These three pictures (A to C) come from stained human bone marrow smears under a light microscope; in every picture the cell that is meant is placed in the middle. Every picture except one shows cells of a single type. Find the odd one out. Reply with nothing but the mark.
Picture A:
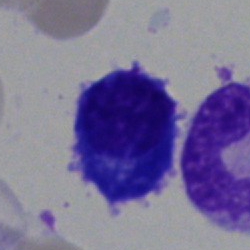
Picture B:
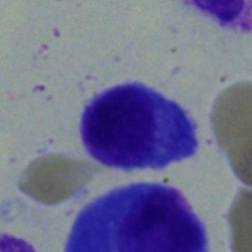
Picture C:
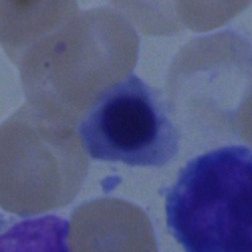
C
